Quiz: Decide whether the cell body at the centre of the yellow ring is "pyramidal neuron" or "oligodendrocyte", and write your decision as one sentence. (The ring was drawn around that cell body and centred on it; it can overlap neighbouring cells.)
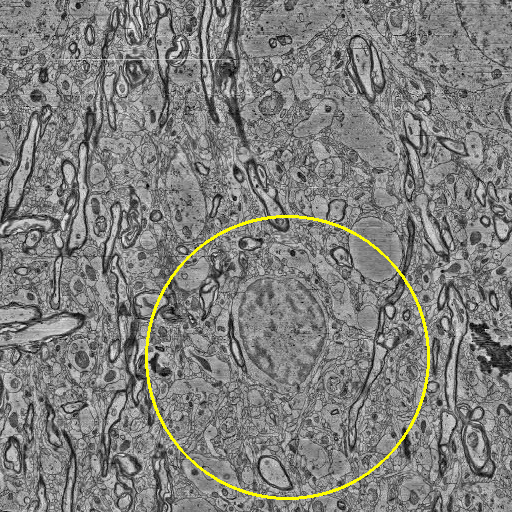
The cell the ring is centred on is an oligodendrocyte.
